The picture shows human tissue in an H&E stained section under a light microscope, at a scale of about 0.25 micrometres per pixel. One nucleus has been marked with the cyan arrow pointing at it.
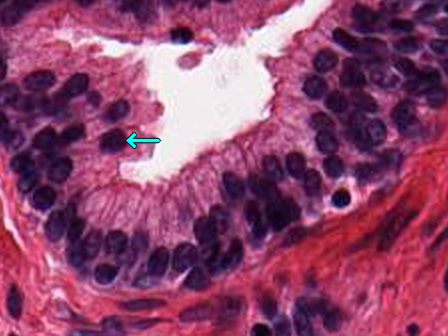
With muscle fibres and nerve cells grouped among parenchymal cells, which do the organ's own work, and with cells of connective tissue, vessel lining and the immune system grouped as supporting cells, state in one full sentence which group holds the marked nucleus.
It is the nucleus of a prostate gland luminal cell, a parenchymal cell, that is marked.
